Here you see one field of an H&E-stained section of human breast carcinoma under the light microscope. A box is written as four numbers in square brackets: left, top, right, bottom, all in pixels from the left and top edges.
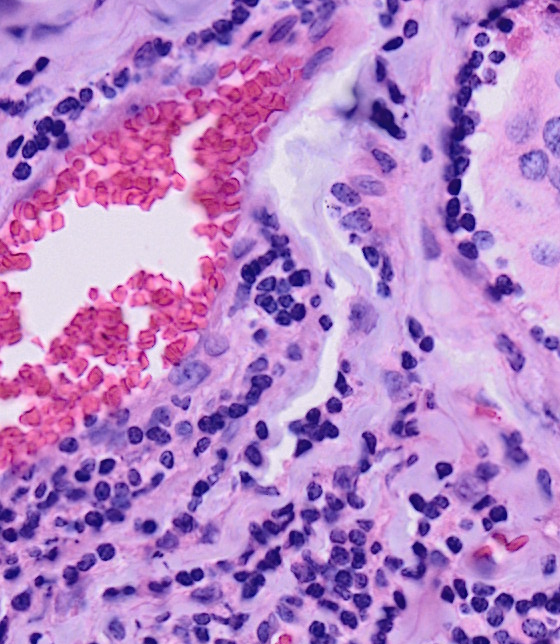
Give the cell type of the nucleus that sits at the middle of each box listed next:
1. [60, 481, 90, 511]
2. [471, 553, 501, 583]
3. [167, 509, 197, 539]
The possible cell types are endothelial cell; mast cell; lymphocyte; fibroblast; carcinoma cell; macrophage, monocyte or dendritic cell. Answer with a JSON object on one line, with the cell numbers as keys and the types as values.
{"1": "lymphocyte", "2": "endothelial cell", "3": "lymphocyte"}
